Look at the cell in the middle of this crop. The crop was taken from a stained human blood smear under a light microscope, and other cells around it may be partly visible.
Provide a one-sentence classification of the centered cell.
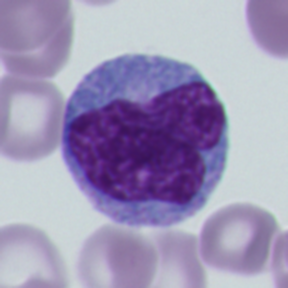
The cell centred in this crop is categorized as a monocyte.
